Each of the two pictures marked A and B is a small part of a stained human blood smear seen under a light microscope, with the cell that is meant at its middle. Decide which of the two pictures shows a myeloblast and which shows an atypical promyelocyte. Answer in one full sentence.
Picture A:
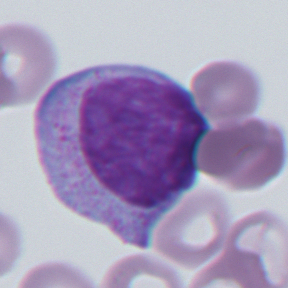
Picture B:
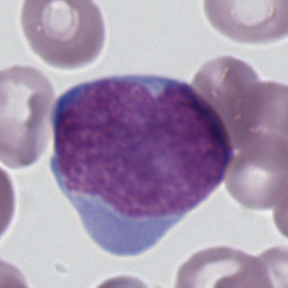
In picture A the cell is an atypical promyelocyte; in picture B, a myeloblast.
